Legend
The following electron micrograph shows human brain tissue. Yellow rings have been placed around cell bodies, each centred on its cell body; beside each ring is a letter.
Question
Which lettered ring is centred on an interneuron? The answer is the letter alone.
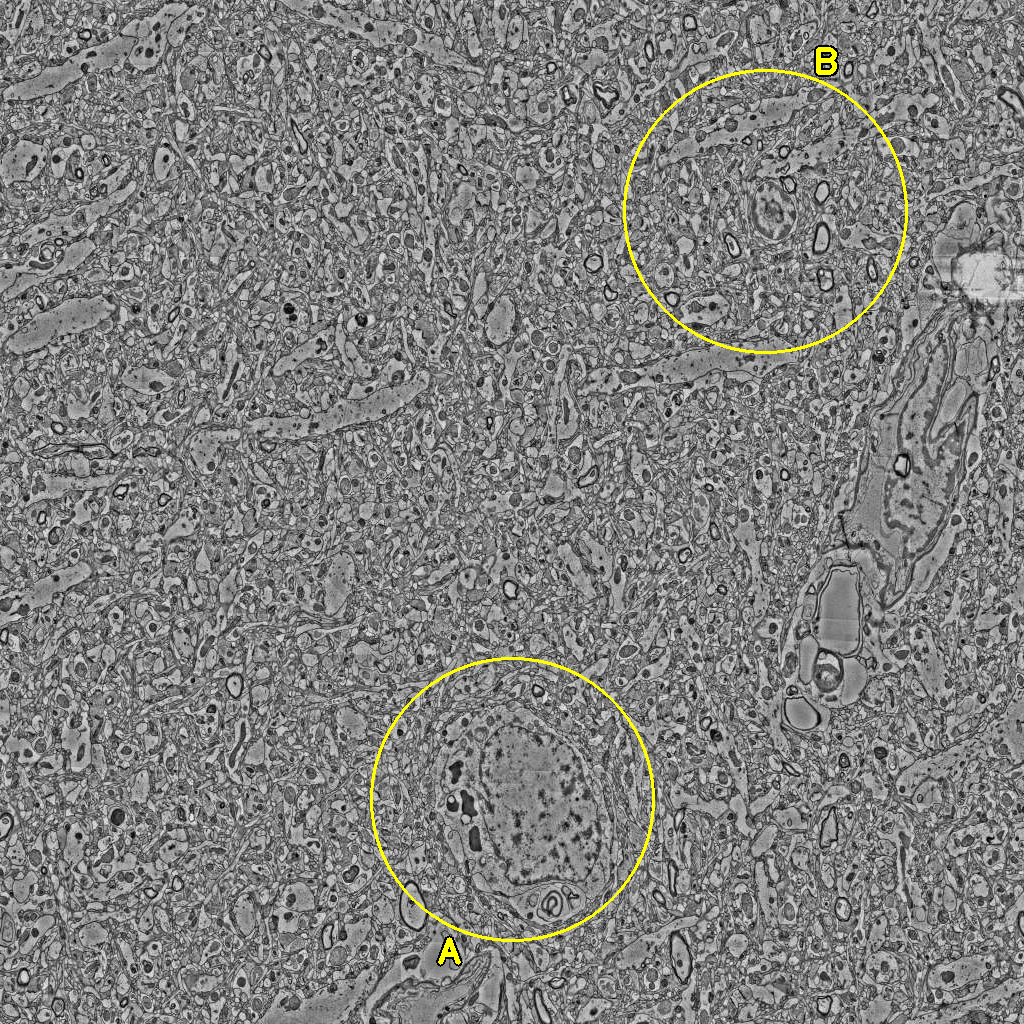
A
